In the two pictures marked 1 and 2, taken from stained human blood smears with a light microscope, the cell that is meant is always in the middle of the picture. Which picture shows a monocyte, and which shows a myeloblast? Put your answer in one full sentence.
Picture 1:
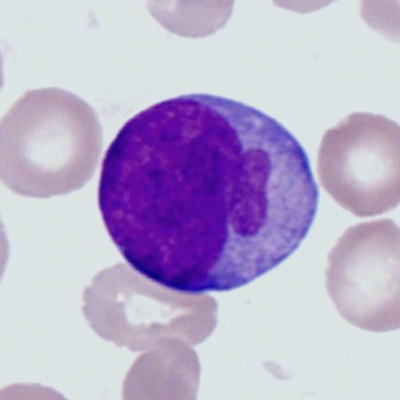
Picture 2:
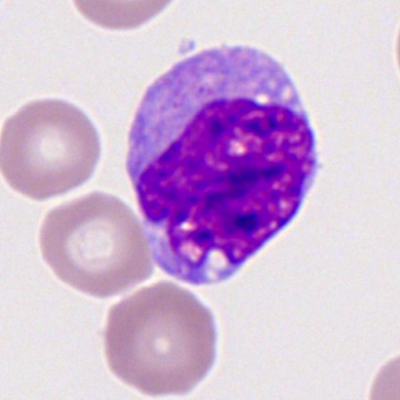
Picture 1 shows a myeloblast and picture 2 shows a monocyte.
